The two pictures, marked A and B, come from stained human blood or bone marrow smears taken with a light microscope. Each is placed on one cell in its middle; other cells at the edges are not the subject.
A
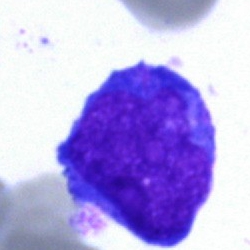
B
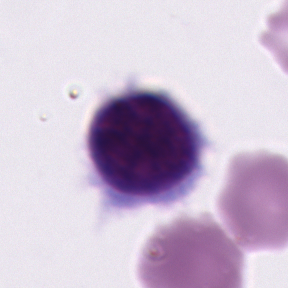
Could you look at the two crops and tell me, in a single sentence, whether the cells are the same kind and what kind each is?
No, look again: crop A shows a blast, and crop B shows a hairy cell.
